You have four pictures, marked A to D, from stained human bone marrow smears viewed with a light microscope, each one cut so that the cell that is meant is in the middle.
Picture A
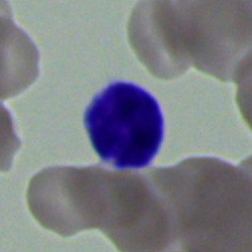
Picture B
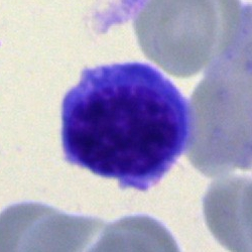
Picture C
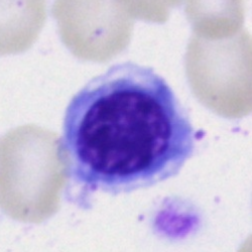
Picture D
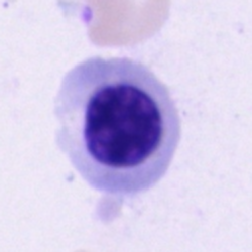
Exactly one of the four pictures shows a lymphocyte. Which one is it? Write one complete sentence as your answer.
The cell in picture A is the lymphocyte.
